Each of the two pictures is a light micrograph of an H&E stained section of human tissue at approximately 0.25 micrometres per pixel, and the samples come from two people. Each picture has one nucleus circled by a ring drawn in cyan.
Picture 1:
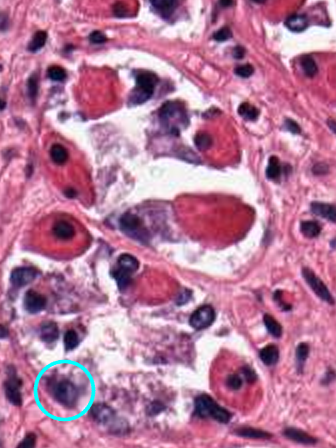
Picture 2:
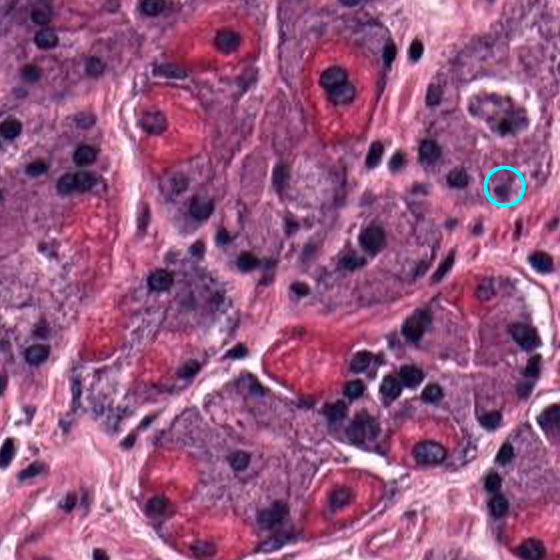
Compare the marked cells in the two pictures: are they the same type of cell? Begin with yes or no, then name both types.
Yes, both are chief cells.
